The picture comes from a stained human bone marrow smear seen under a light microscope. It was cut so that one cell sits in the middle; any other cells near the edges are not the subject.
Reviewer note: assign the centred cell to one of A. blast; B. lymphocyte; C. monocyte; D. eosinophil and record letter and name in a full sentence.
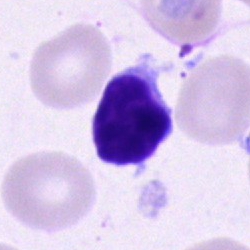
The cell in the centre of the crop is a lymphocyte, so option B is the correct one.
